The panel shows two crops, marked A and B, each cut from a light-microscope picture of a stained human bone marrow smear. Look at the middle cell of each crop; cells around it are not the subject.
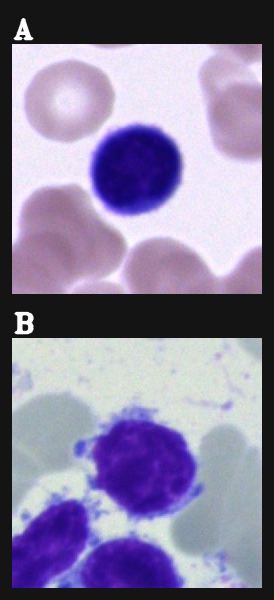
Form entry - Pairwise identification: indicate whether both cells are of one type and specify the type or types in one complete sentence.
Yes, for both crops, the central cells are lymphocytes.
